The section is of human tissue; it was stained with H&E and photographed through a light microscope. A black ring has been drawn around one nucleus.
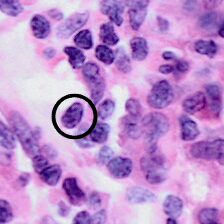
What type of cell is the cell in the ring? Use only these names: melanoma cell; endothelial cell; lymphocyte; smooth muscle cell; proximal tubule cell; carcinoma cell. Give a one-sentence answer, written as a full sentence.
Students should answer that the cell in the ring is a lymphocyte.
